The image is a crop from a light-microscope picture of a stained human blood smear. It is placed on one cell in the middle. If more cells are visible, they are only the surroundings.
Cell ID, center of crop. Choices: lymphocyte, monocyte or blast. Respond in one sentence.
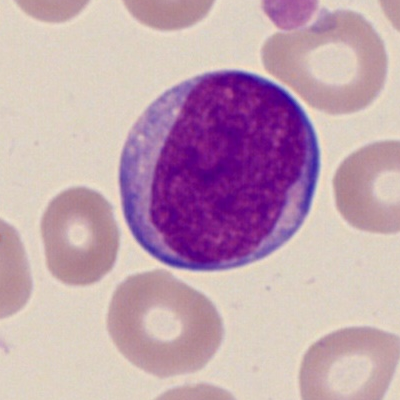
The cell sitting right in the middle is a blast.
